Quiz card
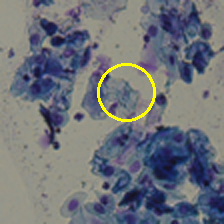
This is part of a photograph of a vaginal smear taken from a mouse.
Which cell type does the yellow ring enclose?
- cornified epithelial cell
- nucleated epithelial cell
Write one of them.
cornified epithelial cell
